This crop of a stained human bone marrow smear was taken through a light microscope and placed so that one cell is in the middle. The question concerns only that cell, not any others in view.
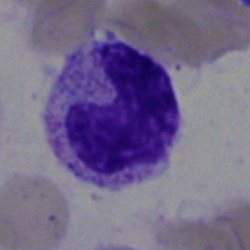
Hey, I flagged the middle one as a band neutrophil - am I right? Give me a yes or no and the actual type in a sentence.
Yes, the cell at the center of the crop is a band neutrophil.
